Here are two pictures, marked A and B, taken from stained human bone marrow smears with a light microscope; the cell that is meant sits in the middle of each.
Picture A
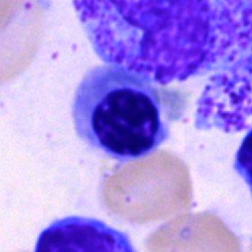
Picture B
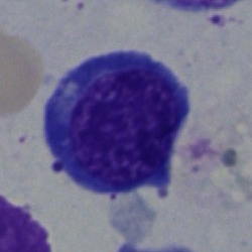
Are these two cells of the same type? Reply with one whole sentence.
Yes; the cells in both pictures are erythroblasts.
